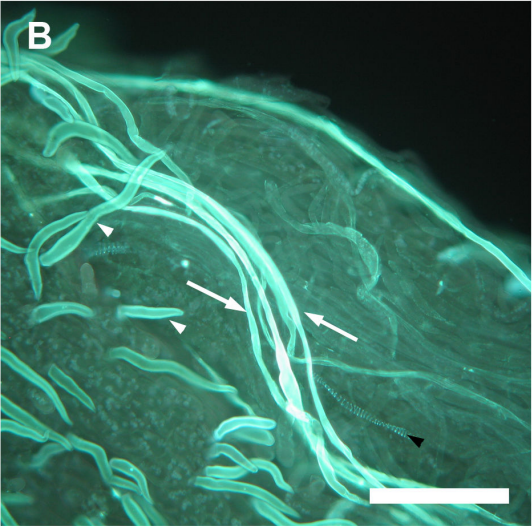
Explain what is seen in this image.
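Several long, thin, unbranched bright tubes run in parallel as a bundle diagonally across the field. Around them, short, blunt, curved bright hairs lie on the tissue surface, much shorter and thicker in outline than the tubes. A faint strand with regular cross-banding, like the spiral thickening of a water-conducting vessel, runs alongside the bundle.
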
